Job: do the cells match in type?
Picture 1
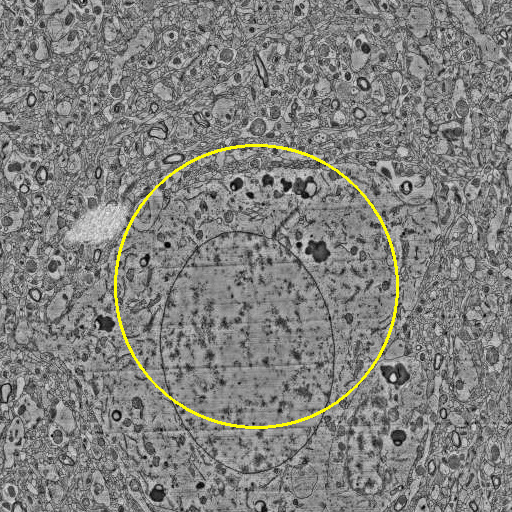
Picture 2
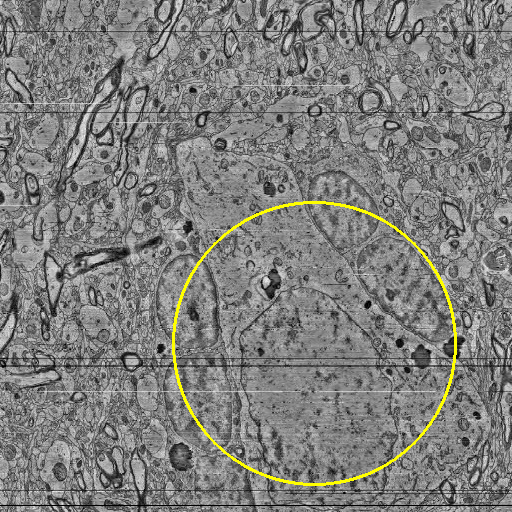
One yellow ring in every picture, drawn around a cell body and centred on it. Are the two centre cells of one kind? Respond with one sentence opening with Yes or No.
Yes, the ringed cells in the two pictures are of one and the same kind.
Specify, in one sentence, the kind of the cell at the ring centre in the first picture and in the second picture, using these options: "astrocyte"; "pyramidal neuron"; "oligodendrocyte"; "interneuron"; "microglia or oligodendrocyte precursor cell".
In each of the two pictures, the ringed cell is a pyramidal neuron.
